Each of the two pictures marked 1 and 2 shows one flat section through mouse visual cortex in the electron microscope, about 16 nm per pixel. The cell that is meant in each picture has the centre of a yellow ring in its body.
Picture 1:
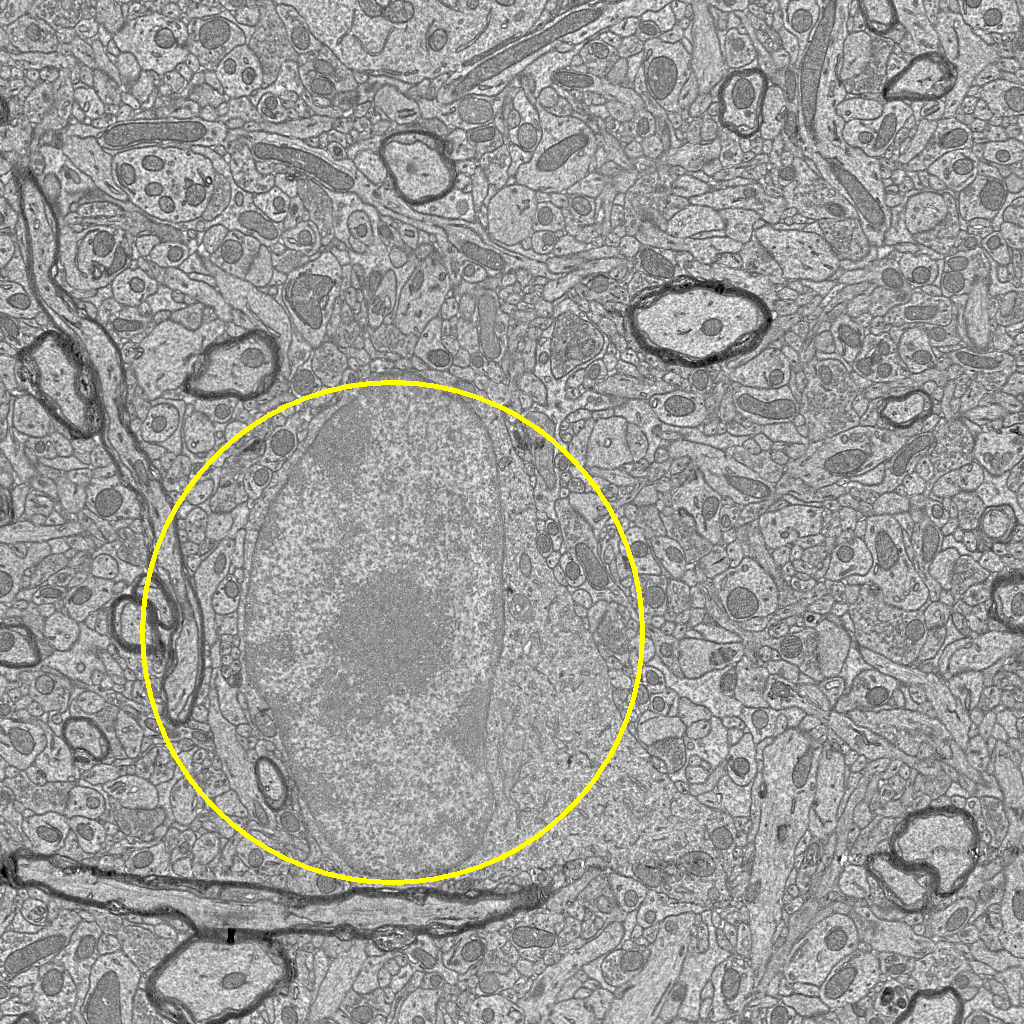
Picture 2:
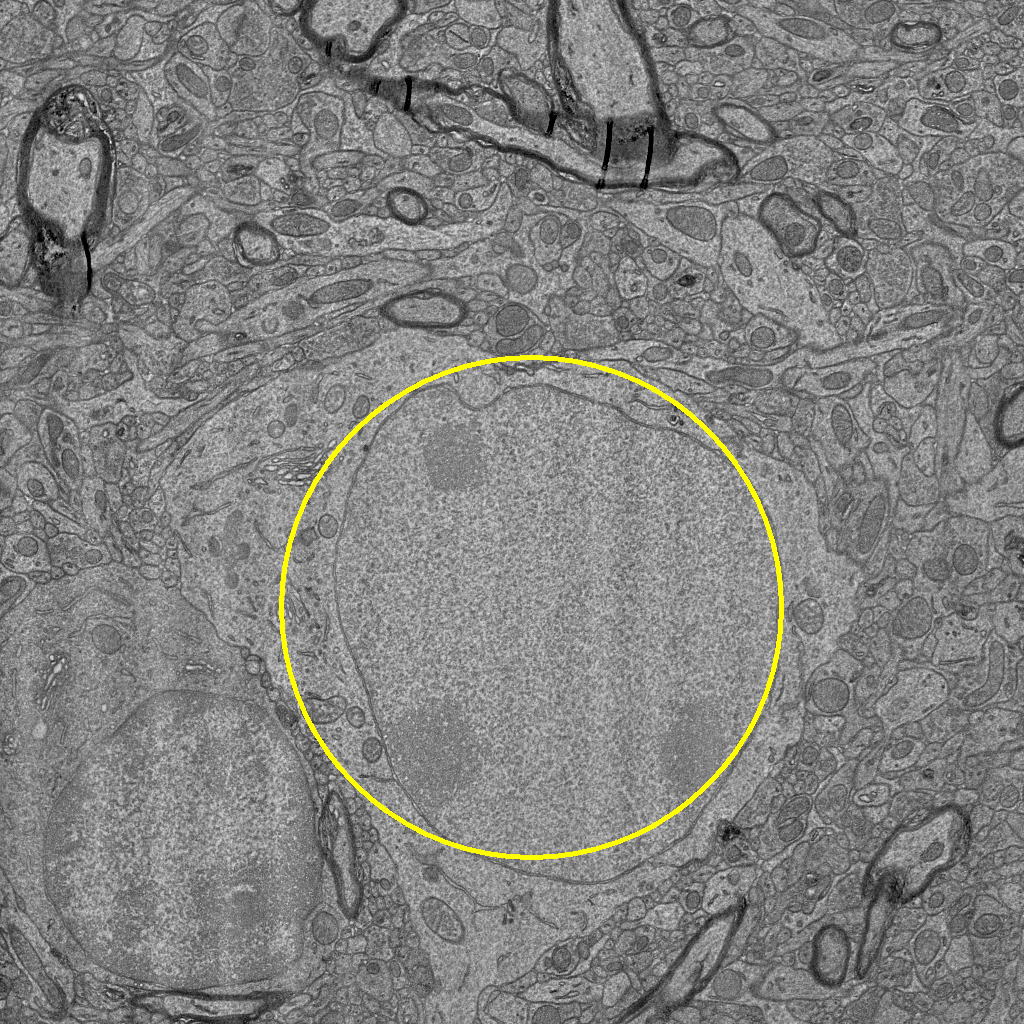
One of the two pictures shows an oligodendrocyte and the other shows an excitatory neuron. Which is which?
In picture 1 the cell is an oligodendrocyte; in picture 2, an excitatory neuron.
